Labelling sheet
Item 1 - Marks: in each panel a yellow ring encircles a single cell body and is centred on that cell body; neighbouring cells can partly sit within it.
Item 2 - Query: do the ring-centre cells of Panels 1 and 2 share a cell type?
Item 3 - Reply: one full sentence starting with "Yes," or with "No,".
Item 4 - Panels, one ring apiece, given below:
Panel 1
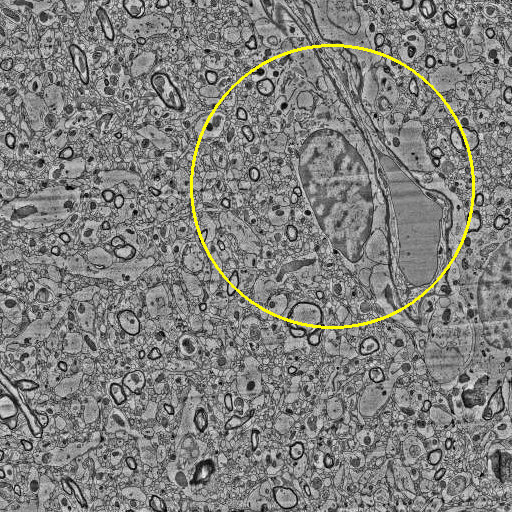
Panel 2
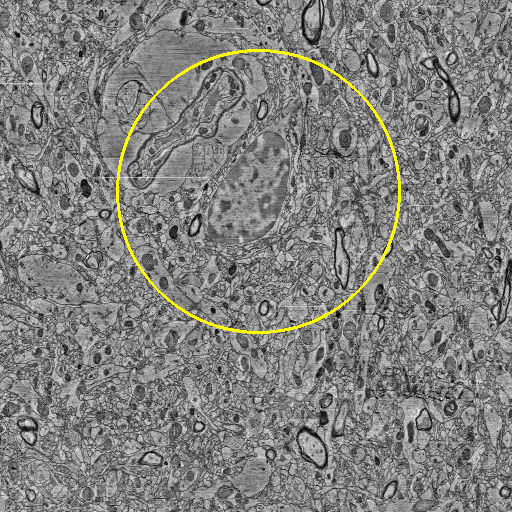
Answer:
Yes, Panel 1 and Panel 2 show one cell type at the centres of their rings.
